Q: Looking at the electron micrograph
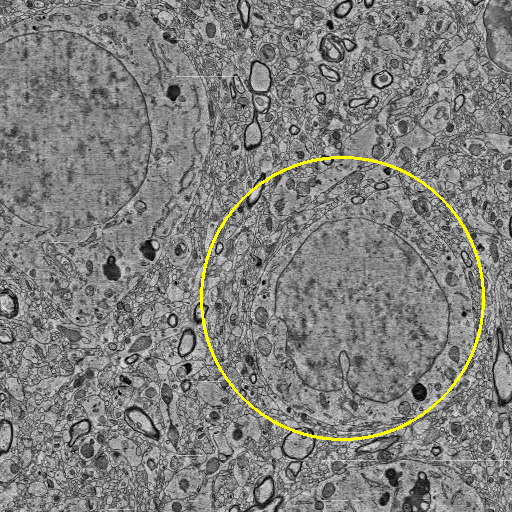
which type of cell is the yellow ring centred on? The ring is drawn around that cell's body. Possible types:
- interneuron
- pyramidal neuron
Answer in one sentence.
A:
The yellow ring is centred on a pyramidal neuron.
